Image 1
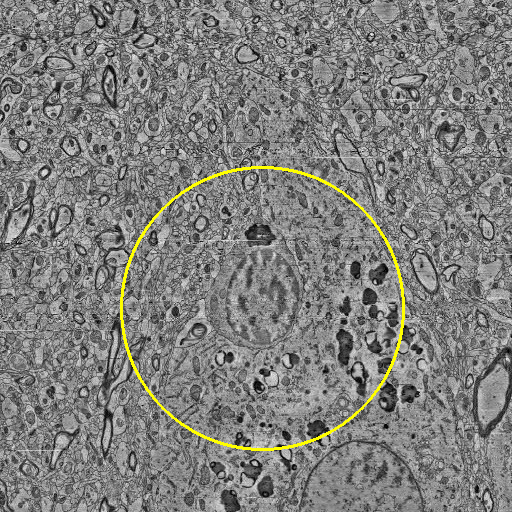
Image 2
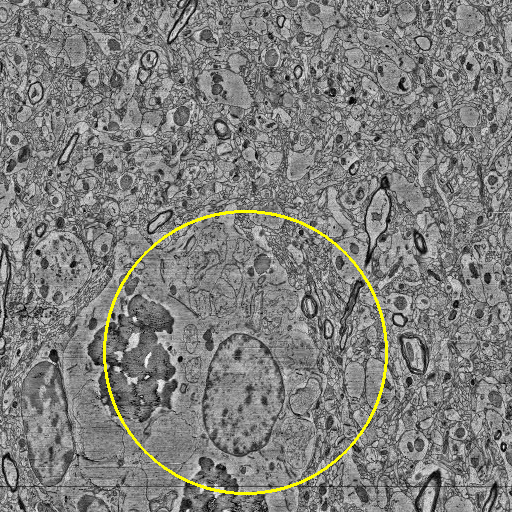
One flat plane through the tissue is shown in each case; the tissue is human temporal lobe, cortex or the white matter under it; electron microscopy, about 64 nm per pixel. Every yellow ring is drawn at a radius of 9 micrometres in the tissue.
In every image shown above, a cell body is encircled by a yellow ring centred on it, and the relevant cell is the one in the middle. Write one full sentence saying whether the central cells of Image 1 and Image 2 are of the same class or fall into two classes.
The cell at the ring's centre in Image 1 and its counterpart in Image 2 fall into two classes.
